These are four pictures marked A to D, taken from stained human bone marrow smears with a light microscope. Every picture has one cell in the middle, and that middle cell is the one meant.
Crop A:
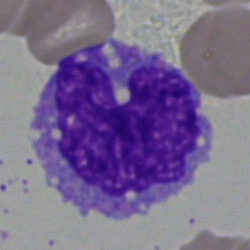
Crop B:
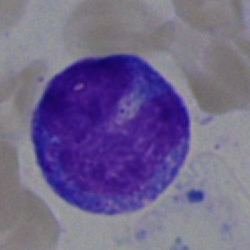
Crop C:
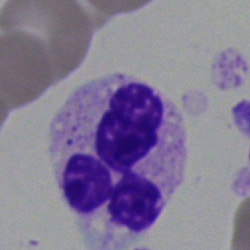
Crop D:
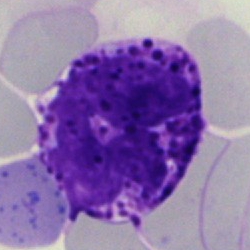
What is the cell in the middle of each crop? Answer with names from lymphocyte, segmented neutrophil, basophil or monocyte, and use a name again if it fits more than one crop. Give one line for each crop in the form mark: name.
A: monocyte
B: monocyte
C: segmented neutrophil
D: basophil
